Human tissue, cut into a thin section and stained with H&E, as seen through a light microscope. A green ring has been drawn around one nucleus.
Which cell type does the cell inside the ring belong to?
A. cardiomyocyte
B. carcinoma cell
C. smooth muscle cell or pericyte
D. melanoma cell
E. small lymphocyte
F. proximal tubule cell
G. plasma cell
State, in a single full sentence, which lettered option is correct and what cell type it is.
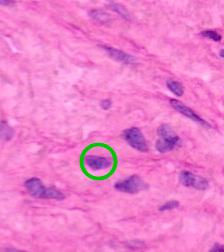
Among the choices, option C is correct, the cell inside the ring being a smooth muscle cell or pericyte.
